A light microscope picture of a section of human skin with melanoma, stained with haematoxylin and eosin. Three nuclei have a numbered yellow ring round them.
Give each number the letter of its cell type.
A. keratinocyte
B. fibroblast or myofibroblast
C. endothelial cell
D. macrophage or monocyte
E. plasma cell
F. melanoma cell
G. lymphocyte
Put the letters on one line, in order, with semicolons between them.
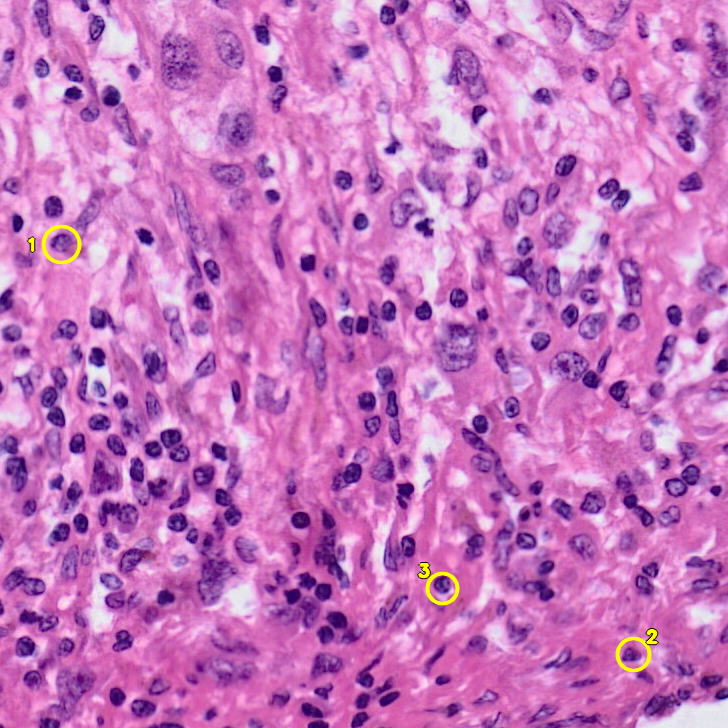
E; G; G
